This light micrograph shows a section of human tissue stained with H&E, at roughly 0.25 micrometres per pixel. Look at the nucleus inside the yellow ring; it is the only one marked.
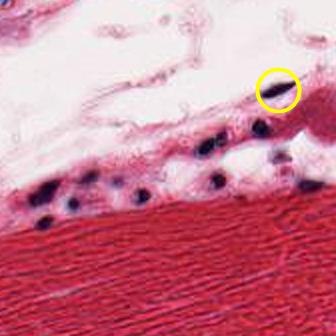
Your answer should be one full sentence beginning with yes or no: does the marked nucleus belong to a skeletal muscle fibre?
No, the marked nucleus is not borne by a skeletal muscle fibre; it is borne by a supporting cell.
